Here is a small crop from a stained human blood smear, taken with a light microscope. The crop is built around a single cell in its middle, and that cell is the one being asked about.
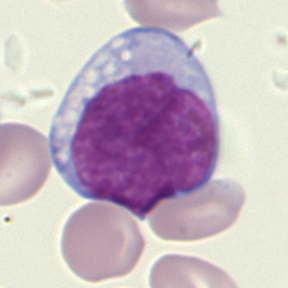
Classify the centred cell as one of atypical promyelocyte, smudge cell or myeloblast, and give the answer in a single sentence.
The cell in the middle of the field of view is a myeloblast.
